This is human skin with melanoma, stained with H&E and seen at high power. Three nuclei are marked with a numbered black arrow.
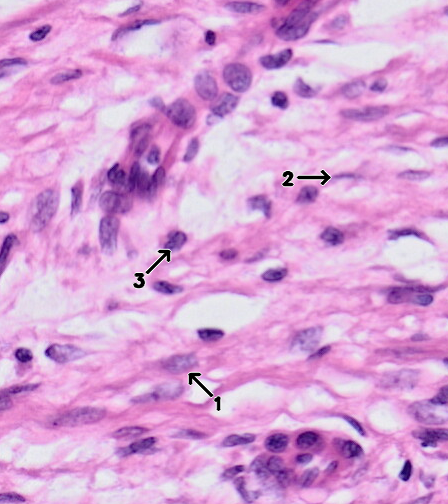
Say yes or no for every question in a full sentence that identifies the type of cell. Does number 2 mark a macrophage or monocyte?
No, the cell carrying number 2 is a fibroblast or myofibroblast rather than a macrophage or monocyte.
